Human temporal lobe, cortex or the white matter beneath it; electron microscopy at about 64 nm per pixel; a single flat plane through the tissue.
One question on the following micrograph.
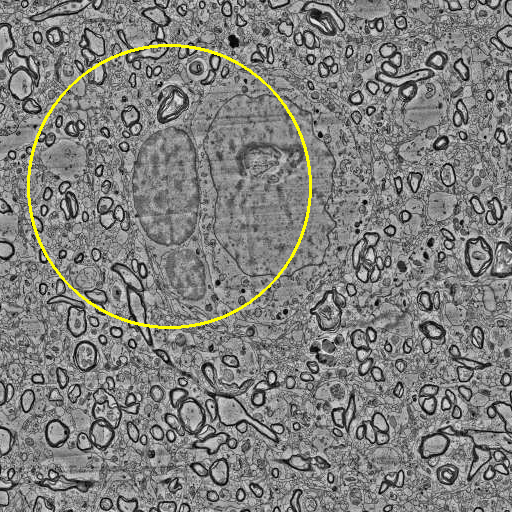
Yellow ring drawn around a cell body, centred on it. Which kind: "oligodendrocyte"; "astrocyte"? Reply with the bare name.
oligodendrocyte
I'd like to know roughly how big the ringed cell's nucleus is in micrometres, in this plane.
In this plane the nucleus measures about 7 by 4 micrometres and is clearly longer than it is wide.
